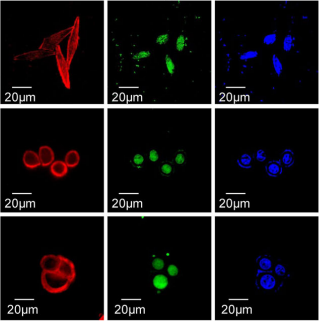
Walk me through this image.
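In the top row, the cells are elongated and spindle-shaped. Red staining runs along their length and extends into long, tapering ends. In the two lower rows, the cells are small, rounded and compact, and lie close together in clusters. In these rounded cells, the red staining forms a ring around the cell edge.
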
